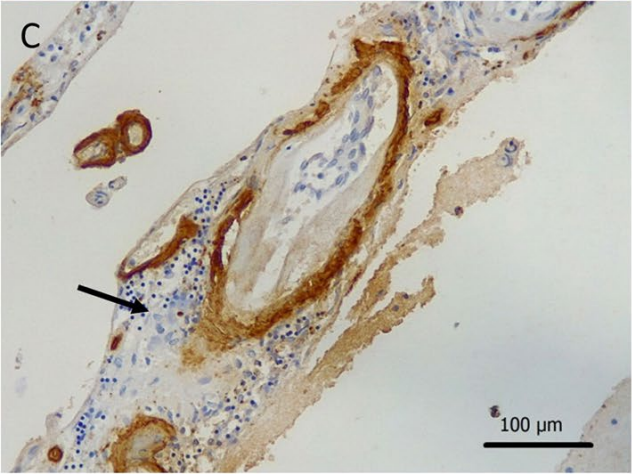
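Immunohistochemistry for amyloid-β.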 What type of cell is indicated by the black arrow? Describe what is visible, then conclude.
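The arrow points into a cluster of inflammatory cells beside the vessel wall.
Answer: multinucleated giant cell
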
